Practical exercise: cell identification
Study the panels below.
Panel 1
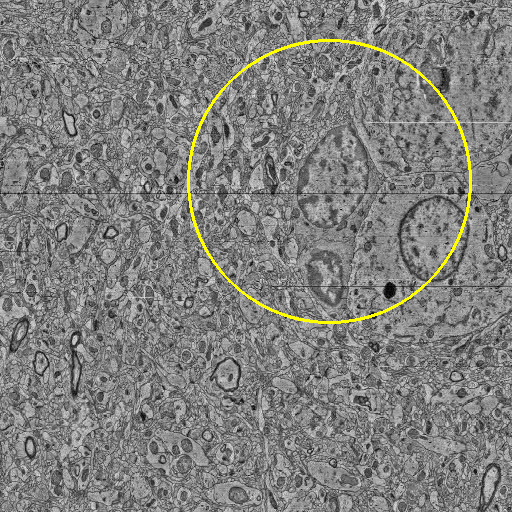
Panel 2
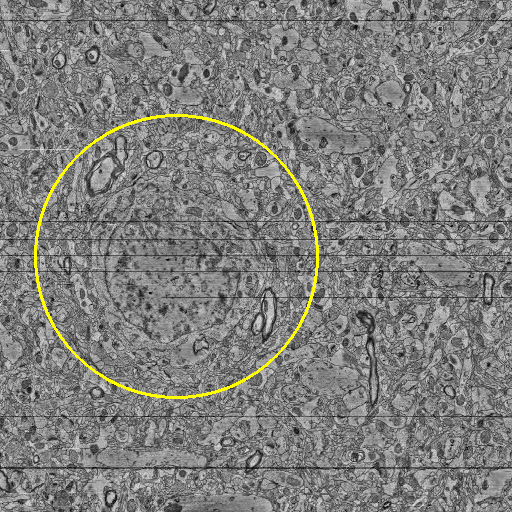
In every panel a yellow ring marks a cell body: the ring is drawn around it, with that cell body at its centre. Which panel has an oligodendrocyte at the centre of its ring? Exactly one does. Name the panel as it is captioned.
Panel 1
